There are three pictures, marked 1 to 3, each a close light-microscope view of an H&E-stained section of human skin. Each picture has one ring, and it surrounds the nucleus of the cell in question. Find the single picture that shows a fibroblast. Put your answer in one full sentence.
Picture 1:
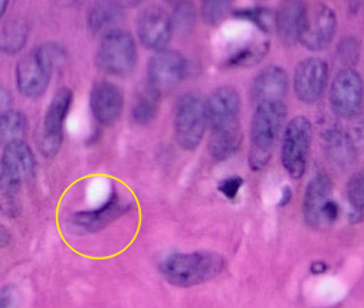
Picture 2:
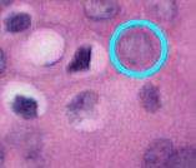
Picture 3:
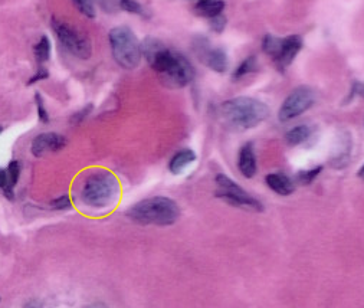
It is picture 1 that shows the fibroblast.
